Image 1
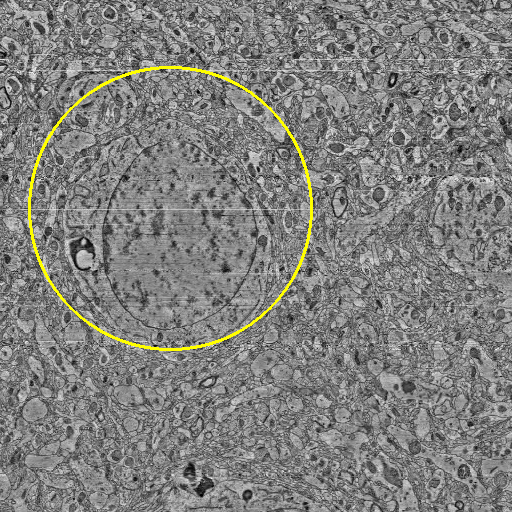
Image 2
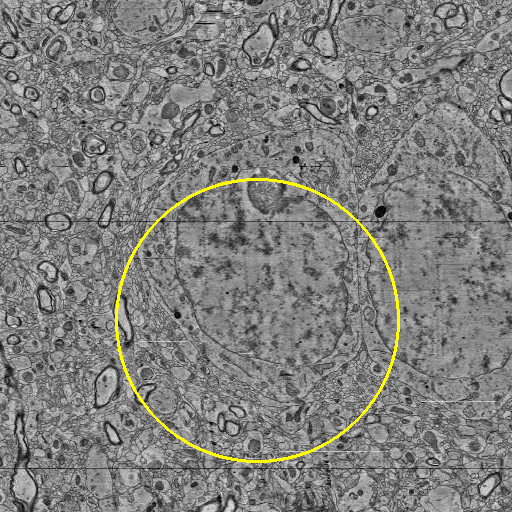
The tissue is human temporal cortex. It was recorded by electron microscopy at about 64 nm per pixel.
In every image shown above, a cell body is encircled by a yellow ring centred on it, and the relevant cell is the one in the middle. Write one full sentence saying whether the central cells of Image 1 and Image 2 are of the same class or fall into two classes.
The cell at the ring's centre in Image 1 and its counterpart in Image 2 are of the same class.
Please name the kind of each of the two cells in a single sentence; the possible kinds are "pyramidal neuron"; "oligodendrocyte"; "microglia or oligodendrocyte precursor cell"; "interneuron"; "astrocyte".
Each cell at the centre of a ring is a pyramidal neuron.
